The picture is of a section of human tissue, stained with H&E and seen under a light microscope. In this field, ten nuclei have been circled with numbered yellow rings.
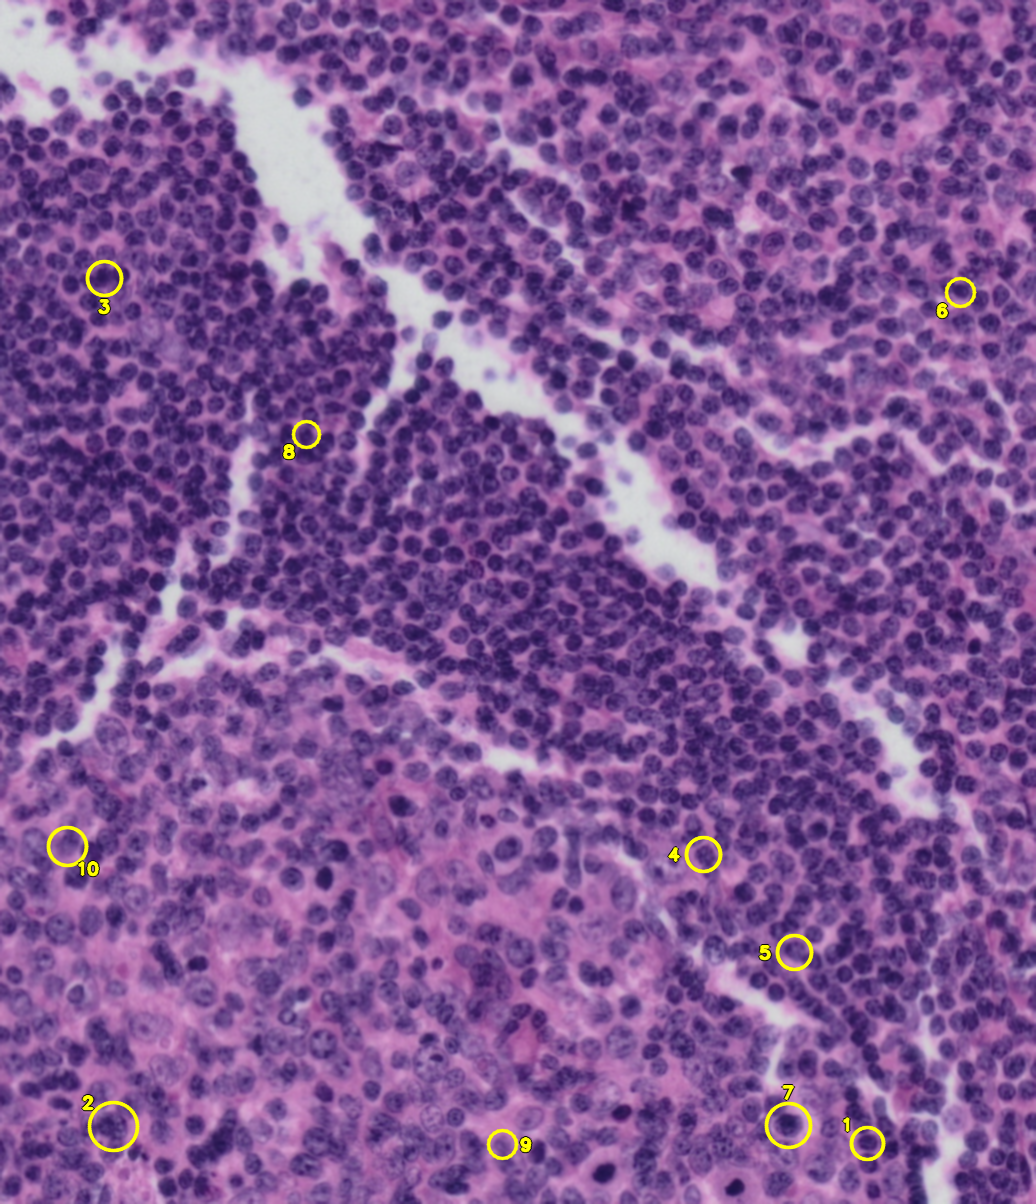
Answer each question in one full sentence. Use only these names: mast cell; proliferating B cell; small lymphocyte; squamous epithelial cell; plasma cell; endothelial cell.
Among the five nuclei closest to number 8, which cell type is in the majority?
Small lymphocytes account for more than half of the five nuclei nearest to number 8.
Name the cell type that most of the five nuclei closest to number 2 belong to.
Most of the five nuclei nearest to number 2 are those of proliferating B cells.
